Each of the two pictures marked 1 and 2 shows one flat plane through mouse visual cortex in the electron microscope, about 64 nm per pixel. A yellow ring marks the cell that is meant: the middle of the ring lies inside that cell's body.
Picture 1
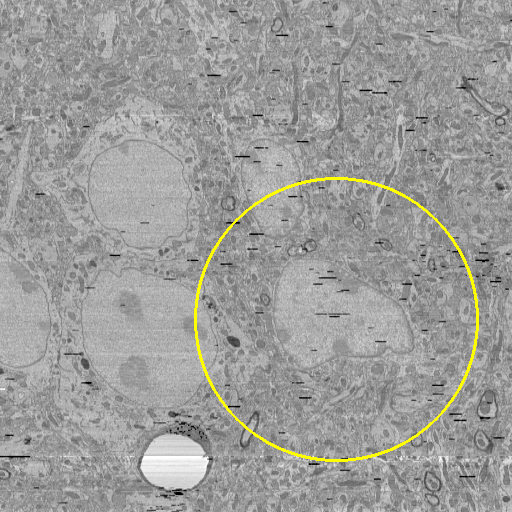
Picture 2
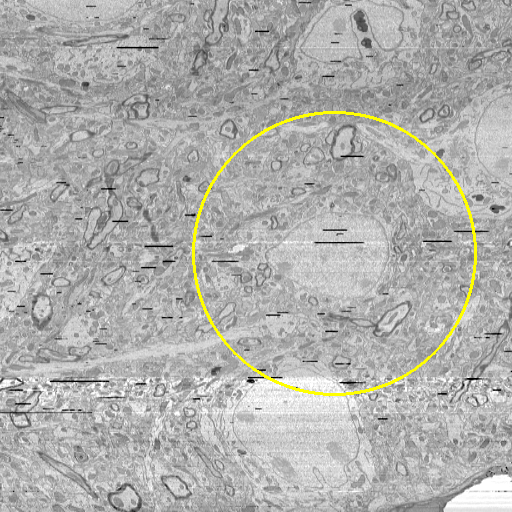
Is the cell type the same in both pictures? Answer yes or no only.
yes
